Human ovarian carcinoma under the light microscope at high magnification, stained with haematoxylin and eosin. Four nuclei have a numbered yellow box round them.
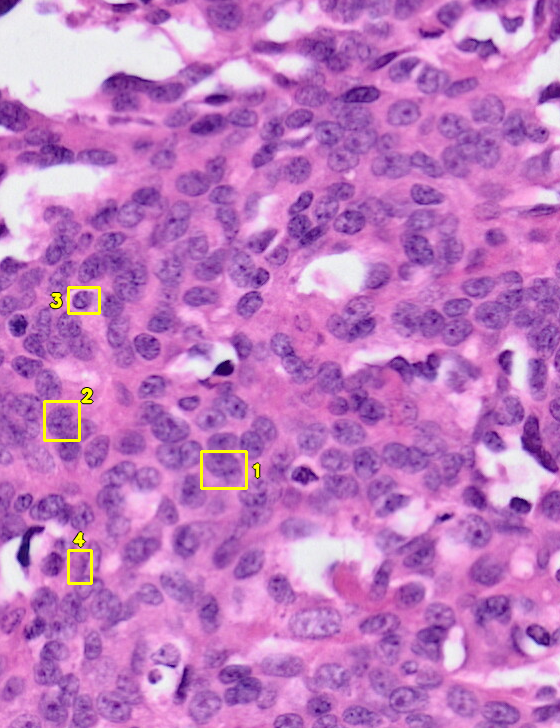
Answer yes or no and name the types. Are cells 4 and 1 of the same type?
Yes, that cells 4 and 1 are both carcinoma cells holds true.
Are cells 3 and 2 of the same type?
No, cell 3 is categorized as a macrophage or monocyte, while cell 2 is categorized as a carcinoma cell.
